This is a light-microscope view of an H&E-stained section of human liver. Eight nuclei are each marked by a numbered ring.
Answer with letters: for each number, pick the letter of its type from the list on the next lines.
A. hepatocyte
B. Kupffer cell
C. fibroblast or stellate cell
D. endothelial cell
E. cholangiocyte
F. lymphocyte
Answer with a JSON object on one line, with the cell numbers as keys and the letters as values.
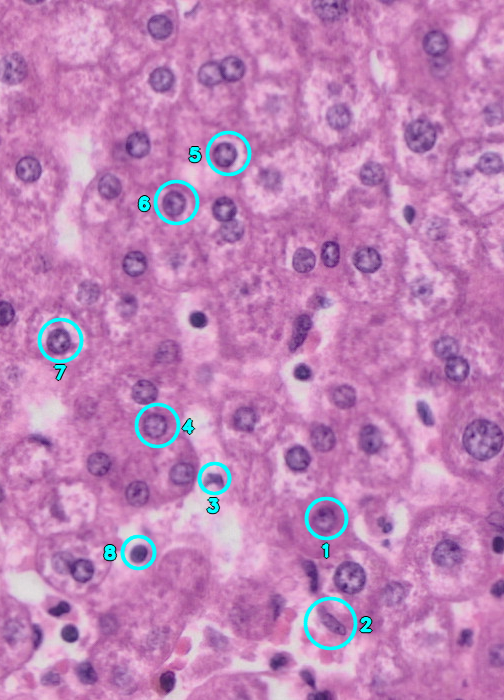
{"1": "A", "2": "B", "3": "D", "4": "A", "5": "A", "6": "A", "7": "A", "8": "F"}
